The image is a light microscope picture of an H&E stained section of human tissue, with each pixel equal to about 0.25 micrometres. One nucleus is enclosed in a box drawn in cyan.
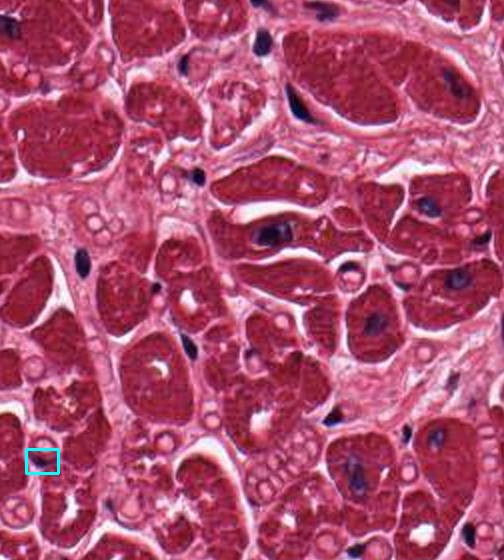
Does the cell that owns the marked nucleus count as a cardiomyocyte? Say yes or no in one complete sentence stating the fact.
No, the marked nucleus is not housed in a cardiomyocyte but in a supporting cell.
